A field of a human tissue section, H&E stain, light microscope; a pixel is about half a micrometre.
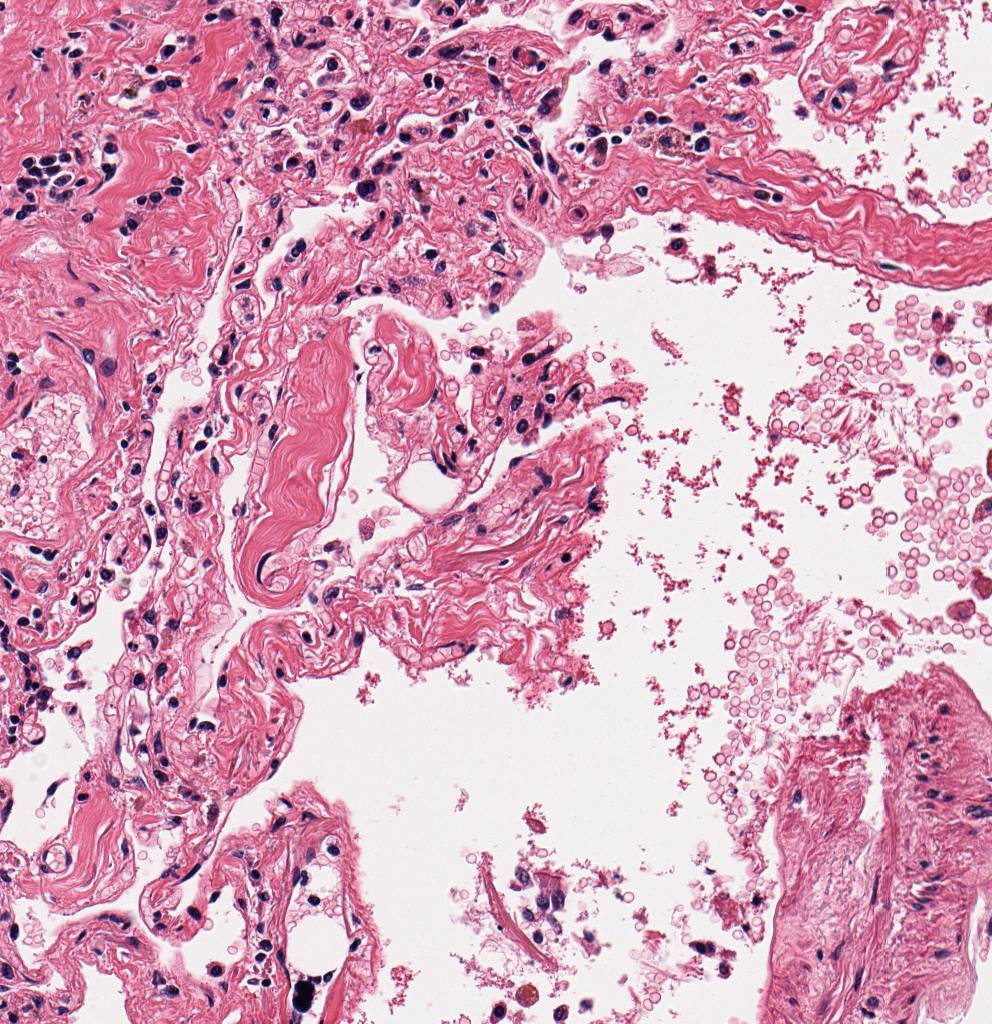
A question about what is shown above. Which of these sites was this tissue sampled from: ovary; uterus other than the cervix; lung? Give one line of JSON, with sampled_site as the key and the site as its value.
{"sampled_site": "lung"}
